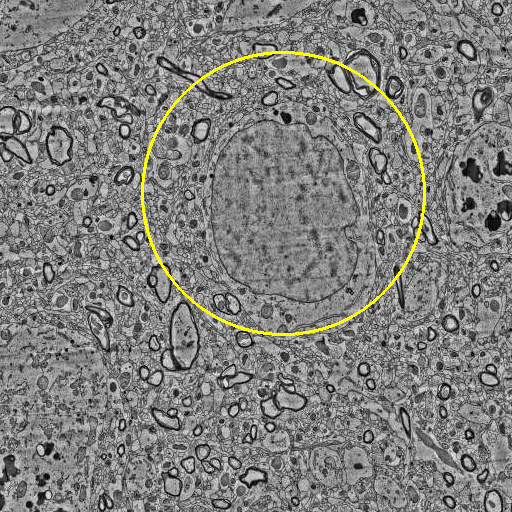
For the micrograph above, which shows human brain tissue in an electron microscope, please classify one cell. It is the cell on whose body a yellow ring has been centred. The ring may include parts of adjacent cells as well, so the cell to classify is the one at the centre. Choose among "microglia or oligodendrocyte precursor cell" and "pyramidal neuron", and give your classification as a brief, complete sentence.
I classify this cell as a pyramidal neuron.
